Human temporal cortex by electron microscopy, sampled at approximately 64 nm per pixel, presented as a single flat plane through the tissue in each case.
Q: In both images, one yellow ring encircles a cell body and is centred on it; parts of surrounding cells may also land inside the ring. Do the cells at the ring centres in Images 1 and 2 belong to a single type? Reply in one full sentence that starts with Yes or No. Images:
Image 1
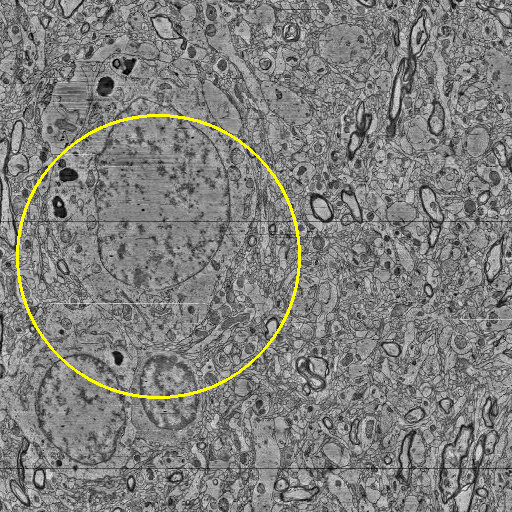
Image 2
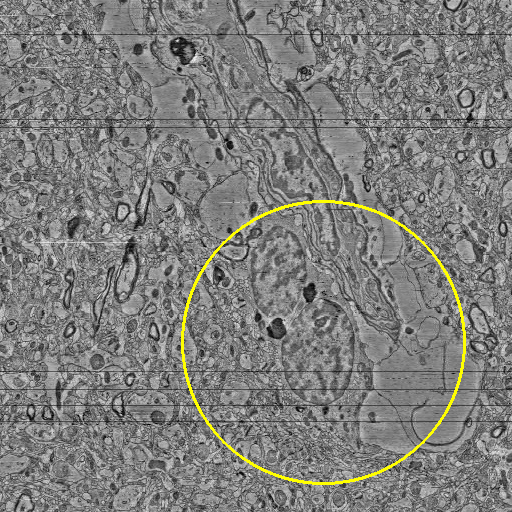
No, the cells at the ring centres in Images 1 and 2 are of two types.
